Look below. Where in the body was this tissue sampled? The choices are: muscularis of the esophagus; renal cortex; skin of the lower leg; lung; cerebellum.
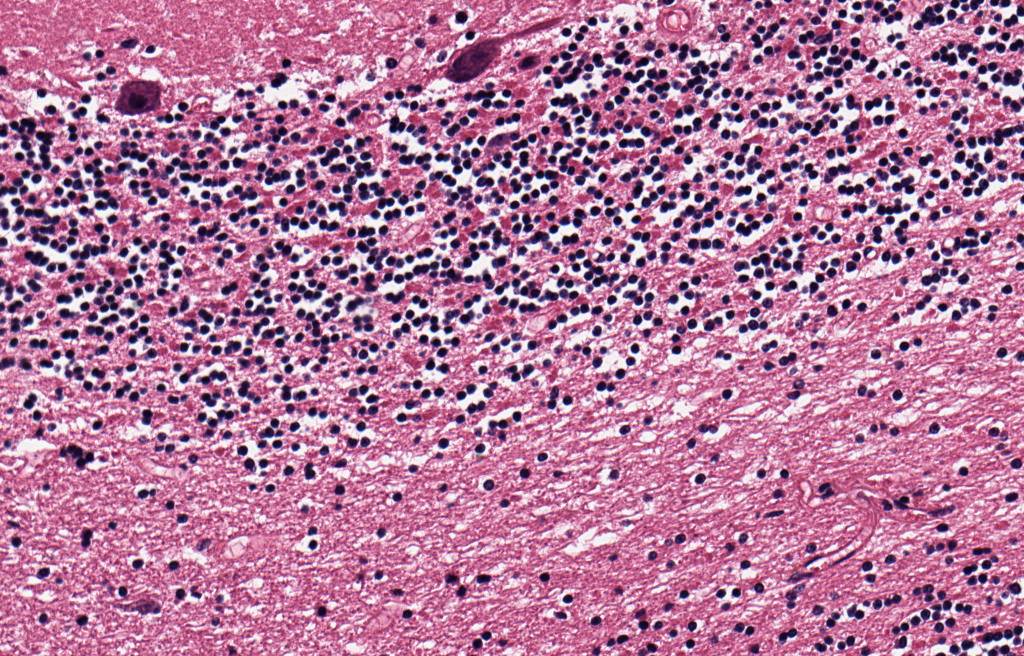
cerebellum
